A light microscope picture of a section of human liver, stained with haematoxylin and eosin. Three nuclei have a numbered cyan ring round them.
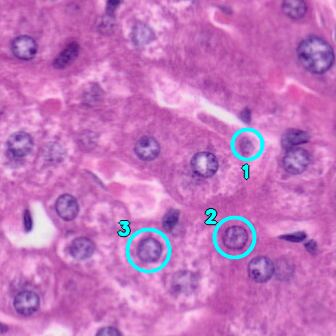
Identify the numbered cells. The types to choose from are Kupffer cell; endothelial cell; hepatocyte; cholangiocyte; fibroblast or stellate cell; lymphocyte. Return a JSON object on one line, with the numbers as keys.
{"1": "Kupffer cell", "2": "hepatocyte", "3": "hepatocyte"}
